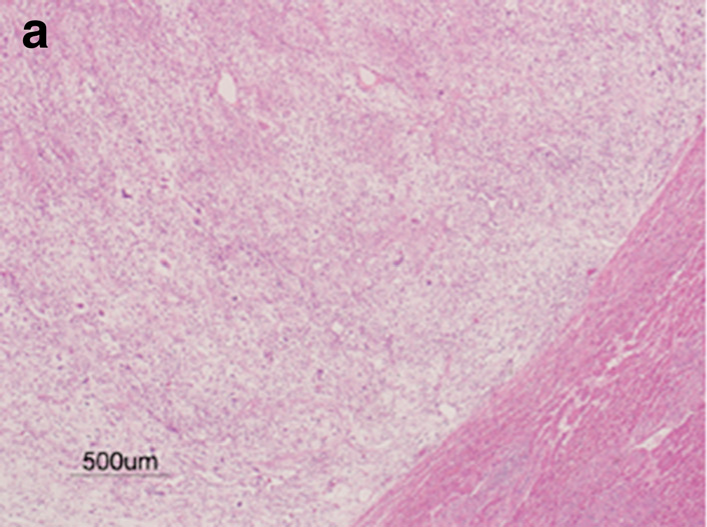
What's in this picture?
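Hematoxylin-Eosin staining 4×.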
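At low power, a broad pale, loosely textured myxoid area fills most of the field, with cells too small to make out individually. At the lower right it meets a band of denser, deeper pink tissue along a sharp, straight border.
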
